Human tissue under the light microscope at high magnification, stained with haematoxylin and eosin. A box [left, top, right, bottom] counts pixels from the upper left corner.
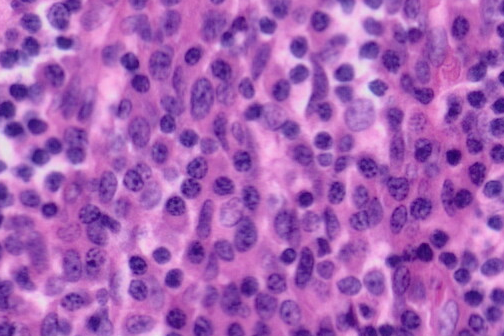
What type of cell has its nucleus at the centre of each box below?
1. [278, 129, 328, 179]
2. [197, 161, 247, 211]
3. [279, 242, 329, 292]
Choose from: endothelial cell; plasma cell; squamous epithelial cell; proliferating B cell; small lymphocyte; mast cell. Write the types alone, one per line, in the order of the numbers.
plasma cell
plasma cell
squamous epithelial cell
